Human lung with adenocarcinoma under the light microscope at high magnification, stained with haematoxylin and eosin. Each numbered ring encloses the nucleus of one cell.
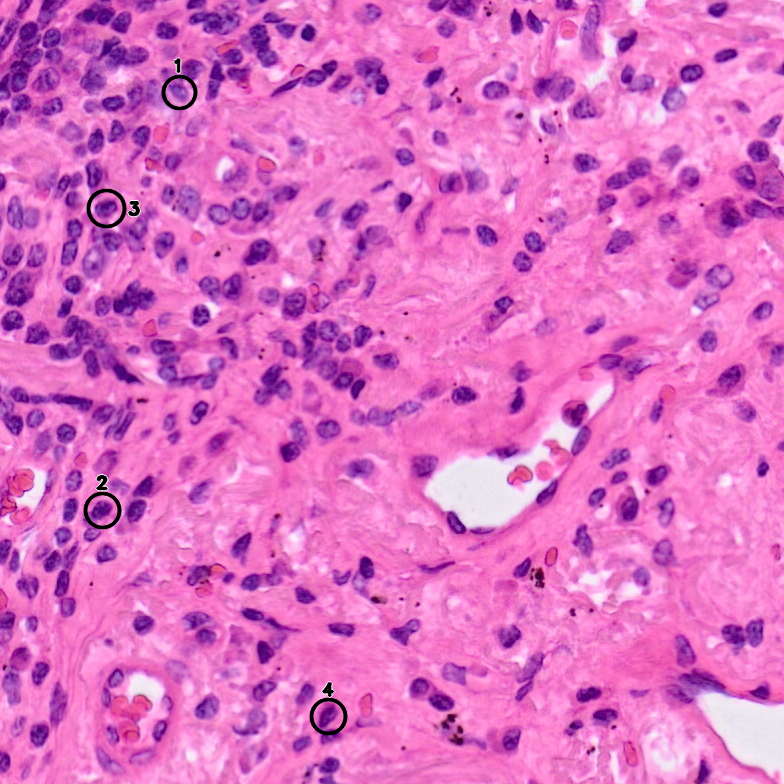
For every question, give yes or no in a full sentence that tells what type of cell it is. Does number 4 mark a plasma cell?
Yes, the cell that is numbered 4 is a plasma cell.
